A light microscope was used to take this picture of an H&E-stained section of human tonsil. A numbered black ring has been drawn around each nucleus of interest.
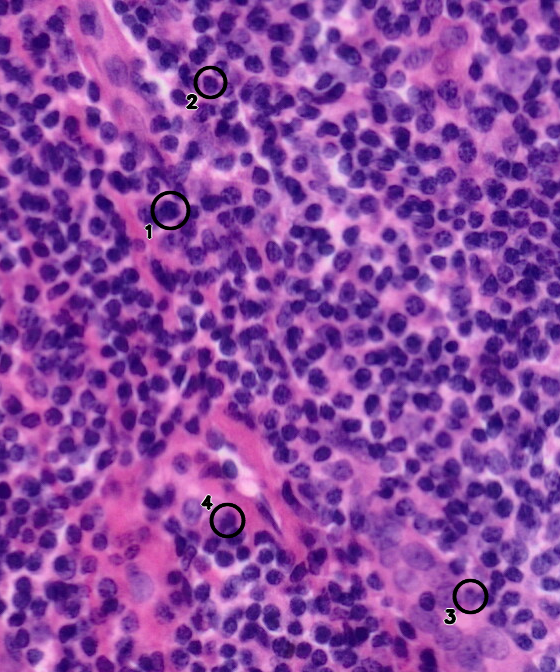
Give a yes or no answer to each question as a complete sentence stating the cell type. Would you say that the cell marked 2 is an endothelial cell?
No, it is a small lymphocyte that is marked with number 2, not an endothelial cell.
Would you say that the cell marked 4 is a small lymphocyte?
No, cell 4 represents an endothelial cell rather than a small lymphocyte.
